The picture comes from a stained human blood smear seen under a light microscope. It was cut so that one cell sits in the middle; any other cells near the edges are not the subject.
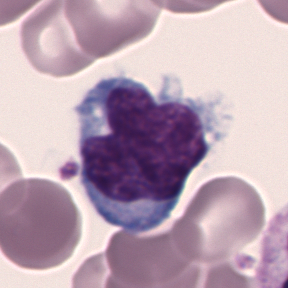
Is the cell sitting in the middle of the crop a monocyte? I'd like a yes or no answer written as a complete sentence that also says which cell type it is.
Yes, the crop is centred on a monocyte.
